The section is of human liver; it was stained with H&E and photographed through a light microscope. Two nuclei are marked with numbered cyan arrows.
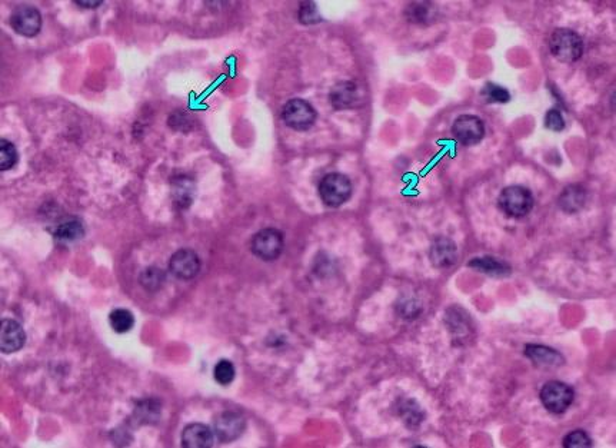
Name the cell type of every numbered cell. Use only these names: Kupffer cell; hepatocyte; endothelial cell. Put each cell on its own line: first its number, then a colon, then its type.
1: Kupffer cell
2: hepatocyte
